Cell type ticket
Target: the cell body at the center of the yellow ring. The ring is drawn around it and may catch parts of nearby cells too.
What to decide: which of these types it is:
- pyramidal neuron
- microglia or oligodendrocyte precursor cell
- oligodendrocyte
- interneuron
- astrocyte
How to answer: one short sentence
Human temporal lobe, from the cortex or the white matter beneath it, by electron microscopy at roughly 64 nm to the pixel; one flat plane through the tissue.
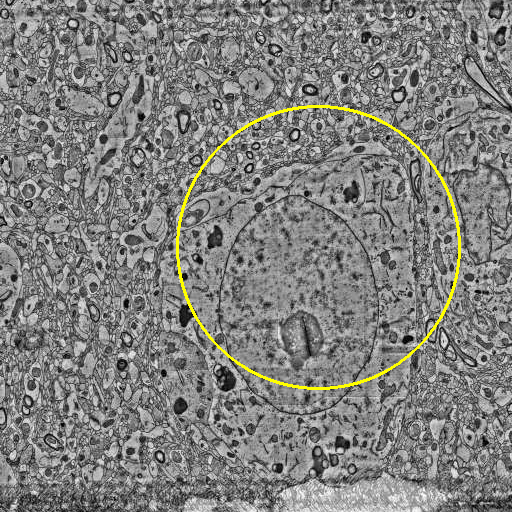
The cell at the center of the ring is a pyramidal neuron.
